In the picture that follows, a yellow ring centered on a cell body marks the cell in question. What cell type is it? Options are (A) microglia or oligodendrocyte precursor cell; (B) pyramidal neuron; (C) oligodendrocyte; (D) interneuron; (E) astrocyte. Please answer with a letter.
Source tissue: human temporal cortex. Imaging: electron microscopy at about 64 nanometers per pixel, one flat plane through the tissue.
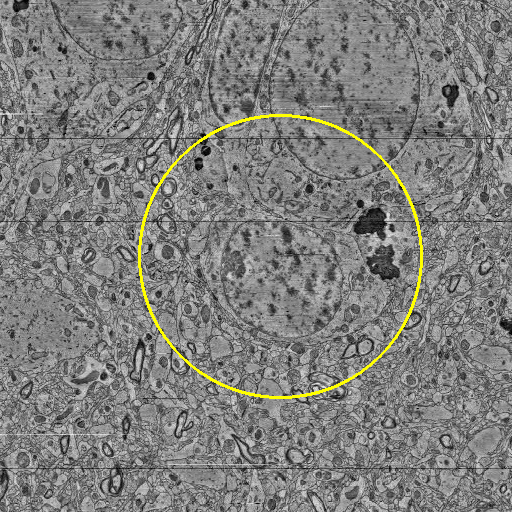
D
